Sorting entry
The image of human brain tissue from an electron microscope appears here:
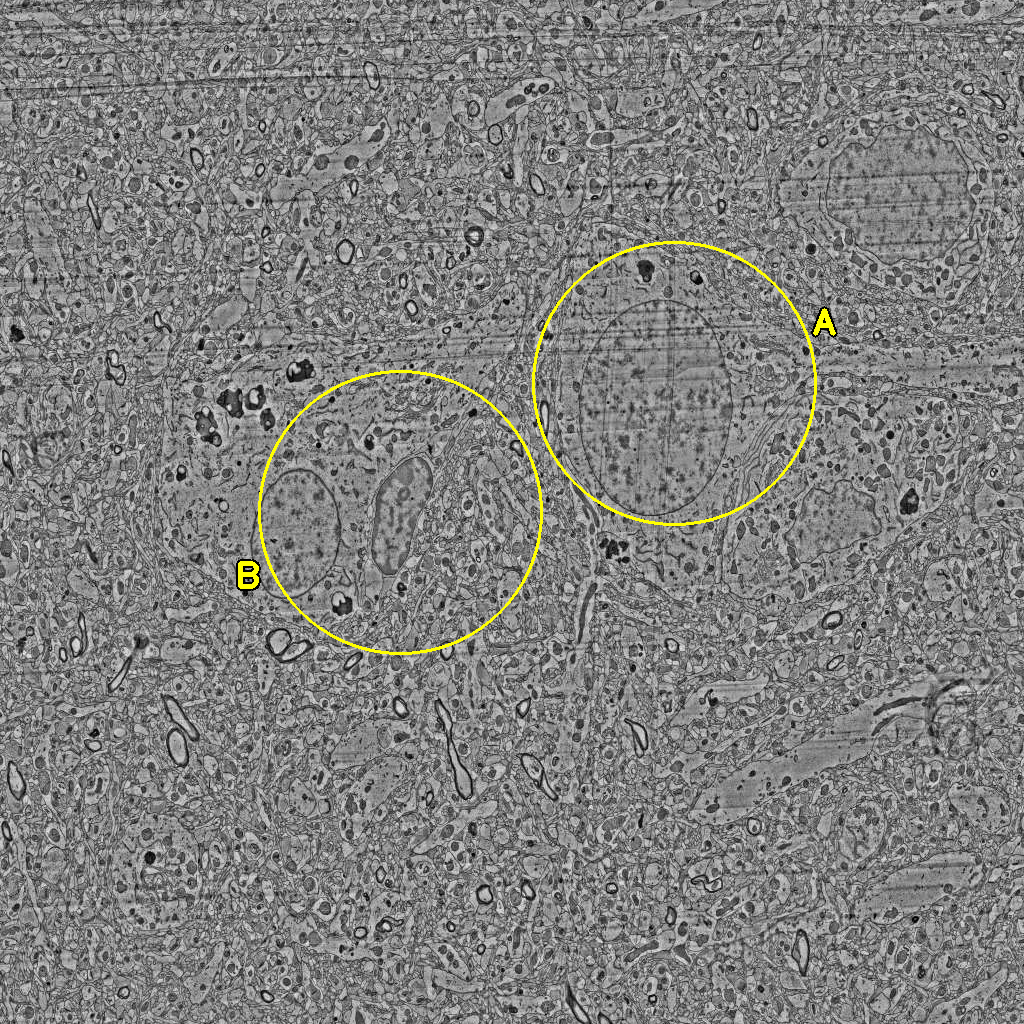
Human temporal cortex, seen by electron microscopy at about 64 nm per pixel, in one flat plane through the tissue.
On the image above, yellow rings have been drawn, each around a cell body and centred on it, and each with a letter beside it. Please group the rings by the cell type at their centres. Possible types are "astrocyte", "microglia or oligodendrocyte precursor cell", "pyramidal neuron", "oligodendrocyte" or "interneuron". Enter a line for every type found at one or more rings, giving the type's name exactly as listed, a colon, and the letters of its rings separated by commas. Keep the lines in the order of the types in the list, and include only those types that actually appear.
microglia or oligodendrocyte precursor cell: B
pyramidal neuron: A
